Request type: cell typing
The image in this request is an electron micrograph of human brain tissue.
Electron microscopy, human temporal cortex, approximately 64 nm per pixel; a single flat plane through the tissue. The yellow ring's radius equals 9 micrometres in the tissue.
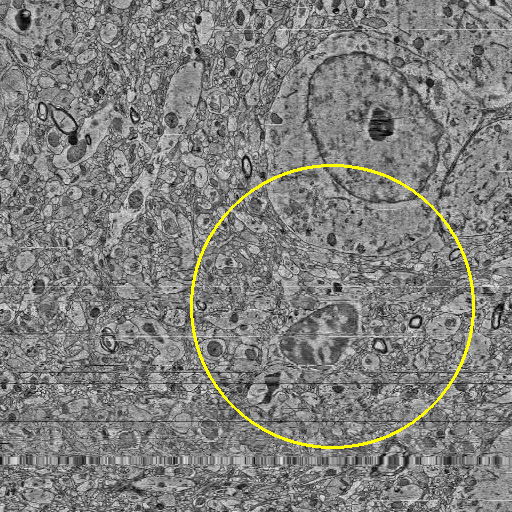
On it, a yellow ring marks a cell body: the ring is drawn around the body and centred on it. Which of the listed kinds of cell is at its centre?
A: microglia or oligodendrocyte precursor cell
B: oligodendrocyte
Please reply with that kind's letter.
A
